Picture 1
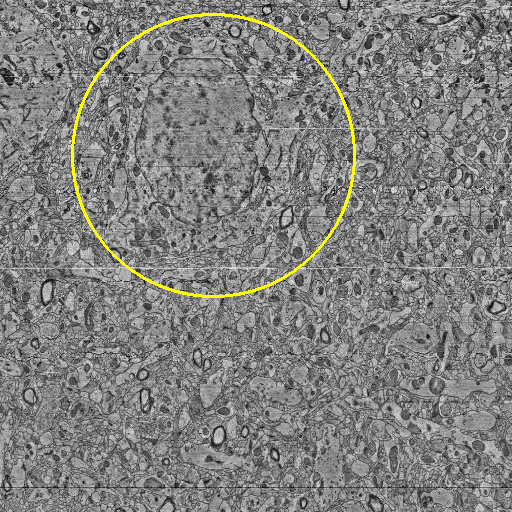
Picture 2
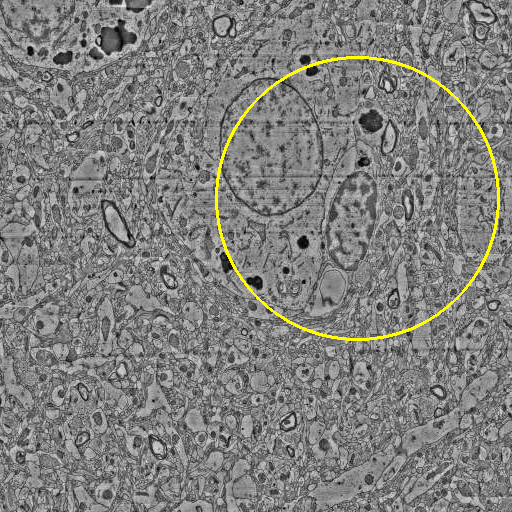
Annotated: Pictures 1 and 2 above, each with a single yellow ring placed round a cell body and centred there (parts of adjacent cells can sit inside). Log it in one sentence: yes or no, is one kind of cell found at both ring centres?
No, the ring centres of the two pictures hold cells of two kinds.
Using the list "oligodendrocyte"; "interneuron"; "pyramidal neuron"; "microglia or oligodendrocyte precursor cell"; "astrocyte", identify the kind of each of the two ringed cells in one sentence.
The first is an interneuron and the second is a microglial cell or oligodendrocyte precursor cell.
